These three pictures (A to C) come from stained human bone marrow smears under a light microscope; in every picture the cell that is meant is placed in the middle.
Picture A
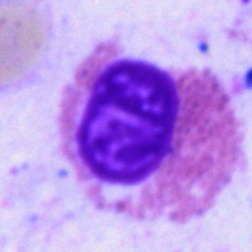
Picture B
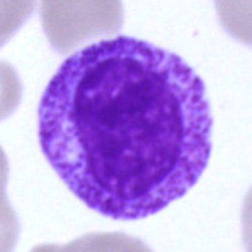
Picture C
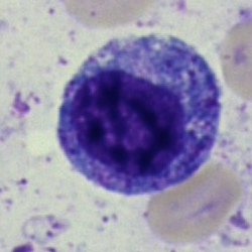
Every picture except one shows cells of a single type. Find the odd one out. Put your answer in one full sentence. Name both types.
Picture A is the odd one out: it shows a basophil, while the others show promyelocytes.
